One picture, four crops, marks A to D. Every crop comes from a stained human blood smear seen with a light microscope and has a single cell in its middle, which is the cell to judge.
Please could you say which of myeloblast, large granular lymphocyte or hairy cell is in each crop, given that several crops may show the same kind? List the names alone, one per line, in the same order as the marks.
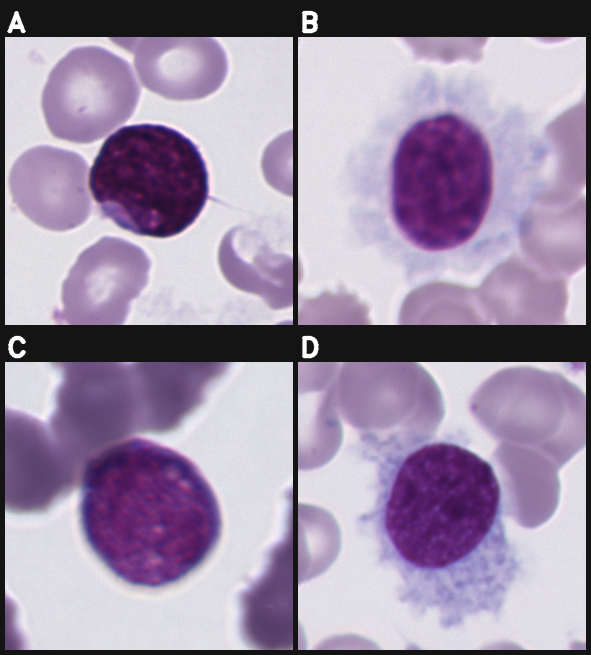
myeloblast
hairy cell
myeloblast
hairy cell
